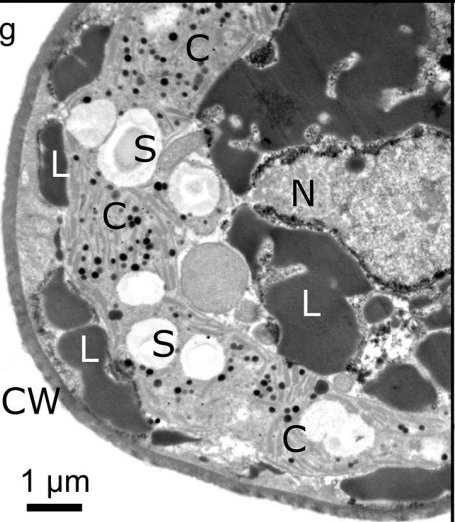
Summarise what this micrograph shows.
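Part of a young algal cyst in section shows a thick wall curving along the left edge, enclosing cytoplasm crowded with organelles. Scattered through the chloroplast are many small black dots. Dark grey, irregularly shaped lipid bodies lie between the chloroplast regions, some elongated and lobed. To the right sits a large nucleus with finely granular contents, bounded by a dark-edged envelope. The lipid bodies occupy only part of the cell, matching an early cyst.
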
